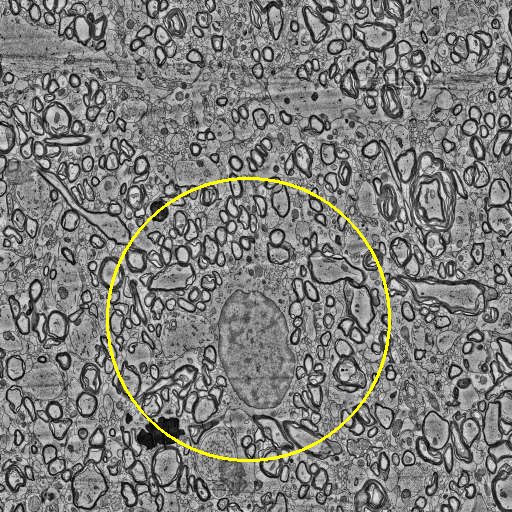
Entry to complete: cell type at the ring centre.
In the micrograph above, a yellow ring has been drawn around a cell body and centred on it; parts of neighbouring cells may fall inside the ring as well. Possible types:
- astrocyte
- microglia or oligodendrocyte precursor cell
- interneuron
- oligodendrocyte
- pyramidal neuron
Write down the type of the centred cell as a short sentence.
The ring is centred on an oligodendrocyte.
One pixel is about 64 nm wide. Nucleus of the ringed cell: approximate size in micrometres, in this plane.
In this plane the nucleus is about 8 micrometres by 5.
